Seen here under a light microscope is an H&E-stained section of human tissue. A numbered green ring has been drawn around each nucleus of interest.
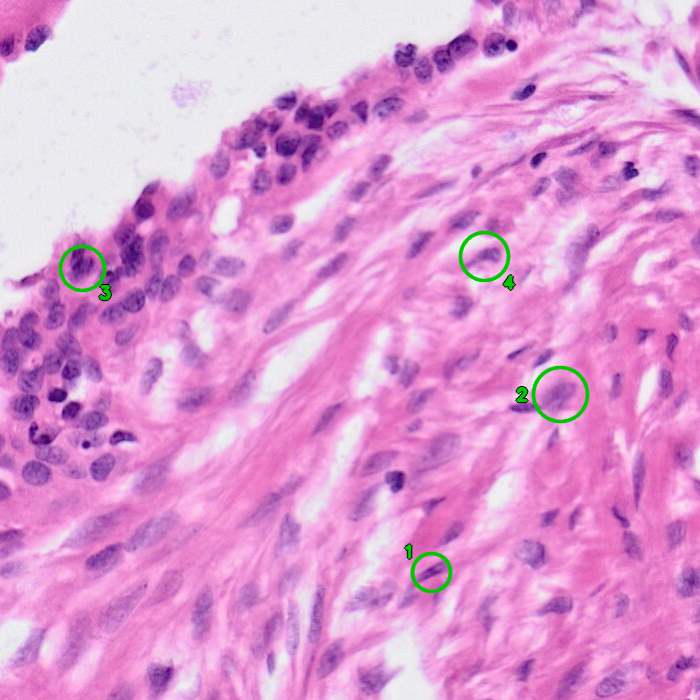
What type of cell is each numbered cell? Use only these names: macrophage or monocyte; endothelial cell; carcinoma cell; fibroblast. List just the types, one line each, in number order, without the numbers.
fibroblast
fibroblast
carcinoma cell
fibroblast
